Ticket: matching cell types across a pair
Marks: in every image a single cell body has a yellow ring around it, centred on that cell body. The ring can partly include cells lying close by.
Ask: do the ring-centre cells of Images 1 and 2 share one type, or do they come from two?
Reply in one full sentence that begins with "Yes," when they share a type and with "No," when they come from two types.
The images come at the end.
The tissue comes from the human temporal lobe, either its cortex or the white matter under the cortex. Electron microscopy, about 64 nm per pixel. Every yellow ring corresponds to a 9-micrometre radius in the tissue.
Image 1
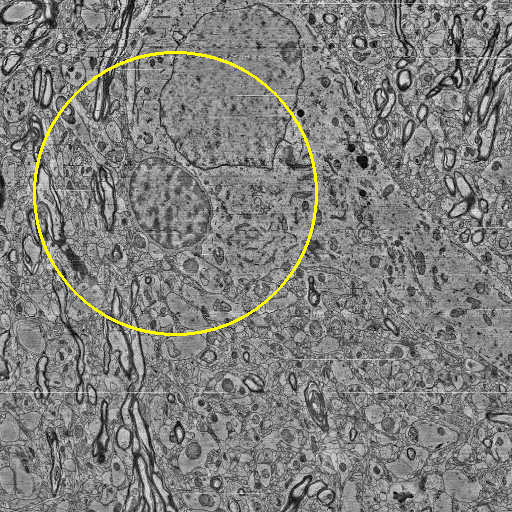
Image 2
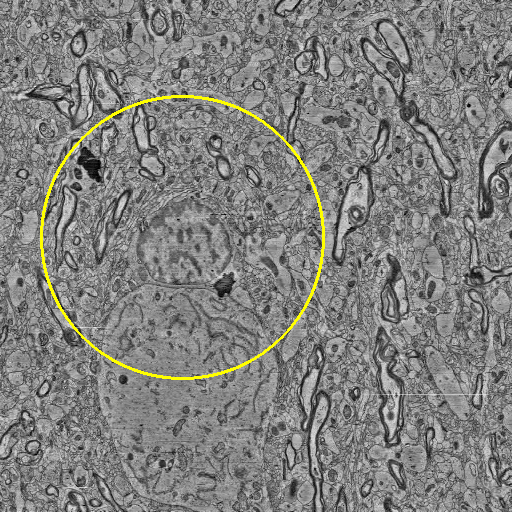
Yes, the cells in the centres of the rings in Image 1 and Image 2 share one type.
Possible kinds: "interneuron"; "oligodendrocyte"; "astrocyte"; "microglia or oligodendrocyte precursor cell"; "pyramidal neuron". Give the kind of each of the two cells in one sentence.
Each cell, in the first picture and the second, is an oligodendrocyte.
